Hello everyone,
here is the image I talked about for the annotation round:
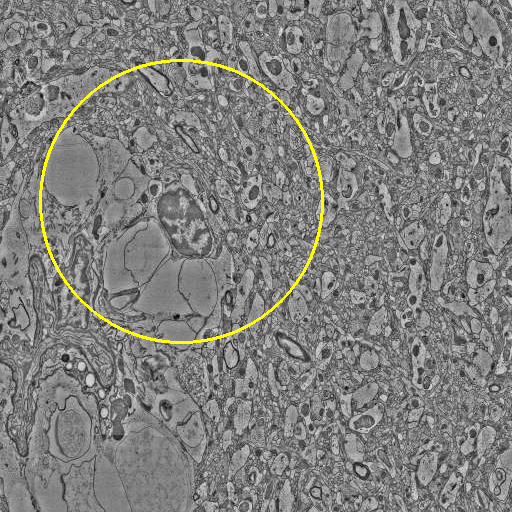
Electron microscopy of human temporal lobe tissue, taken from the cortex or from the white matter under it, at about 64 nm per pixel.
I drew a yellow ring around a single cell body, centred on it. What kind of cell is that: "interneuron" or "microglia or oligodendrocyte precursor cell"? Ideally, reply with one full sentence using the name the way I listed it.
The cell your yellow ring is centred on is a microglial cell or oligodendrocyte precursor cell, going by your list.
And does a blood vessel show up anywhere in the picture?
Yes, one shows.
